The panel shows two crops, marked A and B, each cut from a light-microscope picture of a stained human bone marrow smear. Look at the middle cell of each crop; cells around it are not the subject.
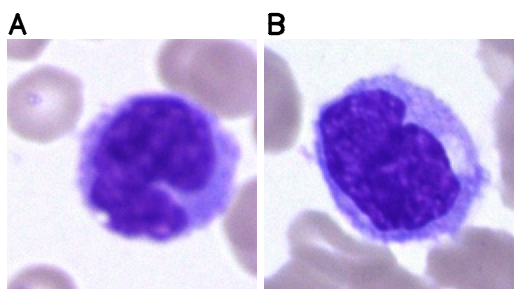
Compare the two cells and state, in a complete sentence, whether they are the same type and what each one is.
Yes, in the middle of both crops lie monocytes.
